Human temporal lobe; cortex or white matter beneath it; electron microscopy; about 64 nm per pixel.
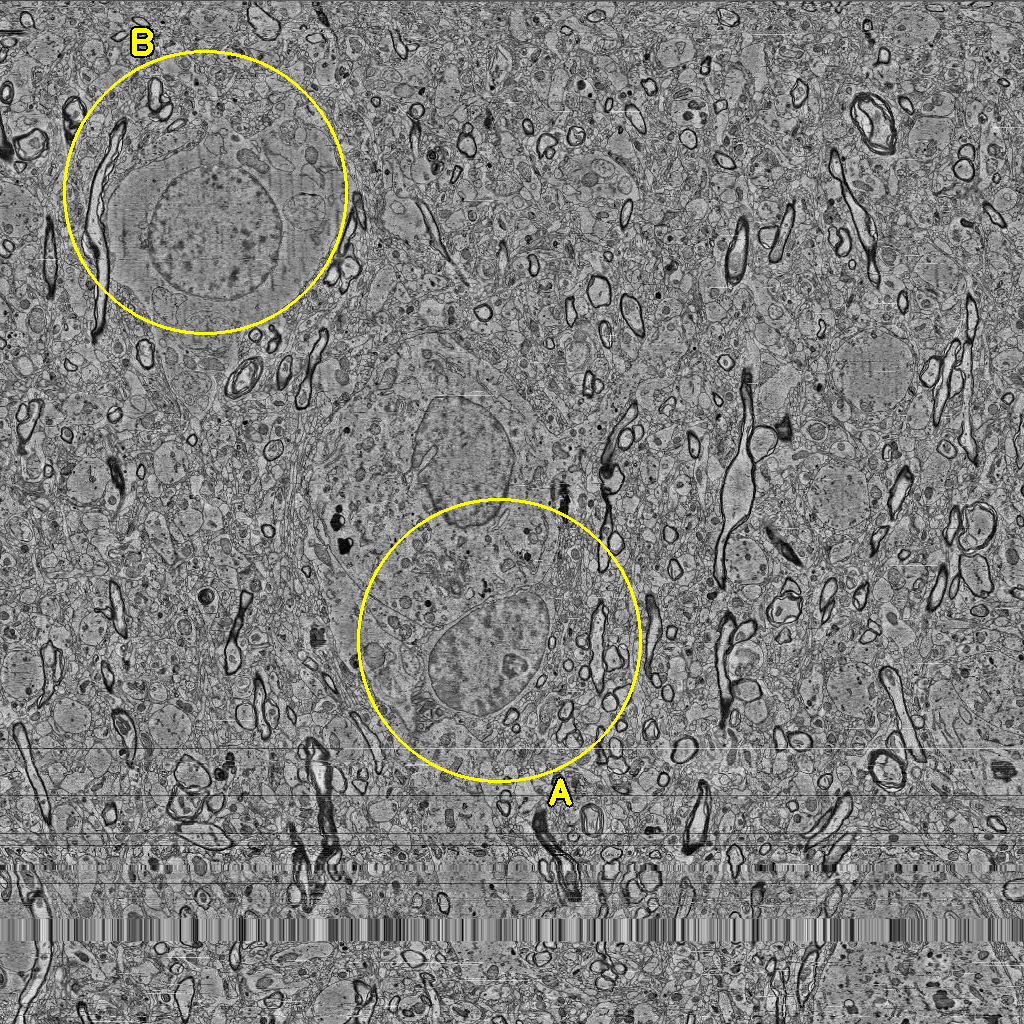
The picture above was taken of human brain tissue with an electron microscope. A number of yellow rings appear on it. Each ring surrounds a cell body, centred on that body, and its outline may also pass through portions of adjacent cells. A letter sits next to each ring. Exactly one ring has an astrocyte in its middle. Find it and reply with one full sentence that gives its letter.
Letter B labels the ring whose centre falls on a cell of that kind.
